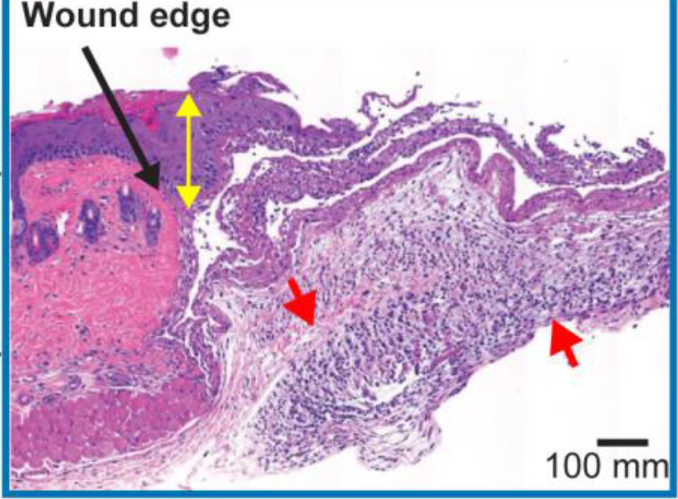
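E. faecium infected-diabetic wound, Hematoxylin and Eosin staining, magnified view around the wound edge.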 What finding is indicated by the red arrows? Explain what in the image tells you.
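The areas at the red arrows hold dense clusters of small dark purple nuclei. These clusters lie in the wound bed beside the pink dermis. So: immune cell infiltration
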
